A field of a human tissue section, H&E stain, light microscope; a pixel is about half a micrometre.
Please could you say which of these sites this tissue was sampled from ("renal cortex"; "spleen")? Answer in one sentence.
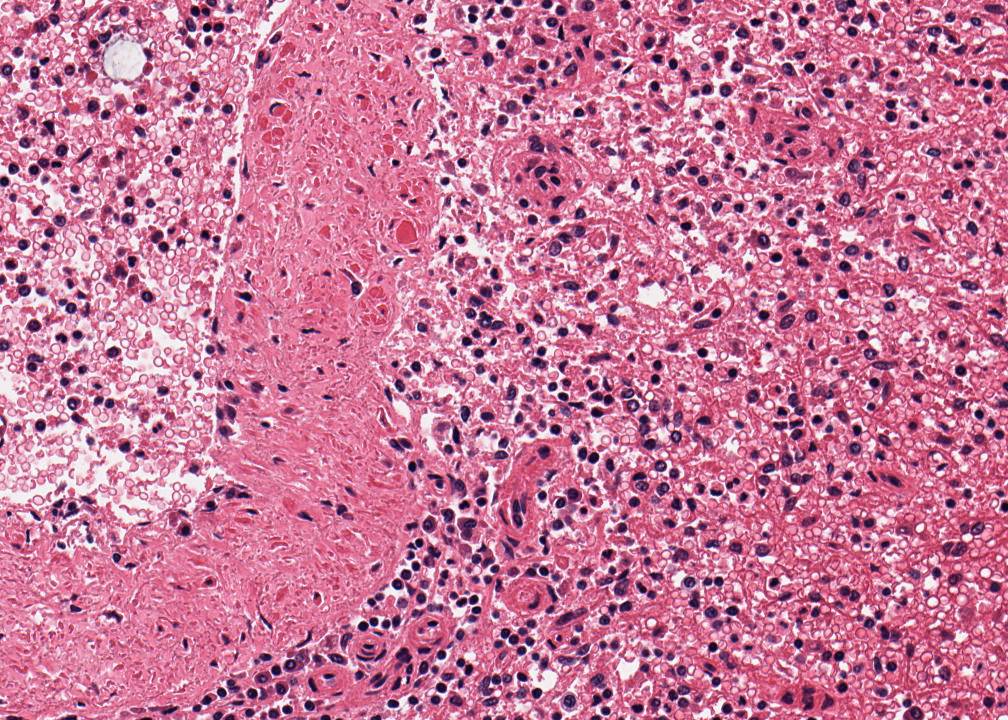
The site this tissue was sampled from is the spleen.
